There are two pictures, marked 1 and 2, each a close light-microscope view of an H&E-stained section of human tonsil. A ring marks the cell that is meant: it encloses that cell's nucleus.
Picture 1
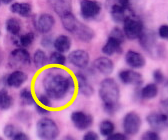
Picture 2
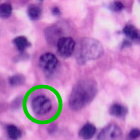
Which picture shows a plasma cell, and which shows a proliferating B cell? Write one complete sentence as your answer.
It is picture 1 that shows a proliferating B cell, and picture 2 that shows a plasma cell.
